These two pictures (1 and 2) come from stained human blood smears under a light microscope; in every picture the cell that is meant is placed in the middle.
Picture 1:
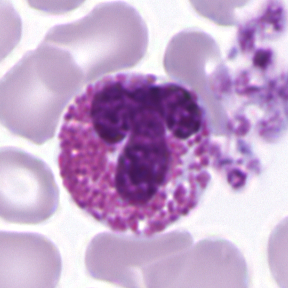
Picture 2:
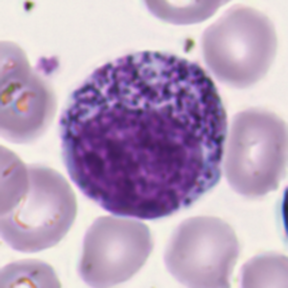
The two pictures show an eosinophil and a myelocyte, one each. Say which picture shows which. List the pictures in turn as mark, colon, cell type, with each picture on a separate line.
1: eosinophil
2: myelocyte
